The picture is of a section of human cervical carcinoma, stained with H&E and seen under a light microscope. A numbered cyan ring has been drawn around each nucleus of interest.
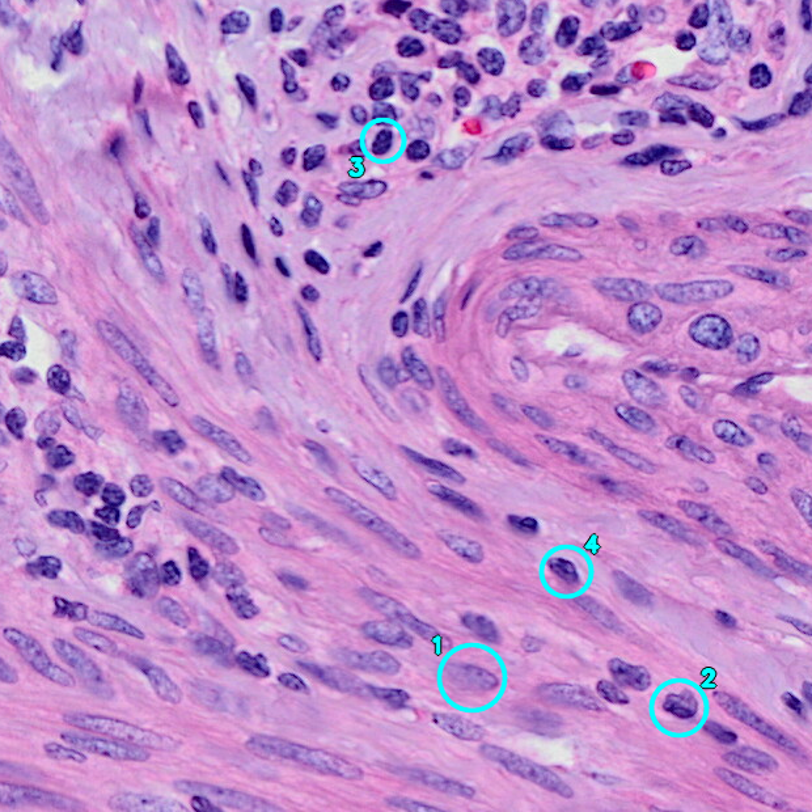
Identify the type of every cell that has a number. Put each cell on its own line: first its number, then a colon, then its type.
1: smooth muscle cell
2: lymphocyte
3: lymphocyte
4: lymphocyte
